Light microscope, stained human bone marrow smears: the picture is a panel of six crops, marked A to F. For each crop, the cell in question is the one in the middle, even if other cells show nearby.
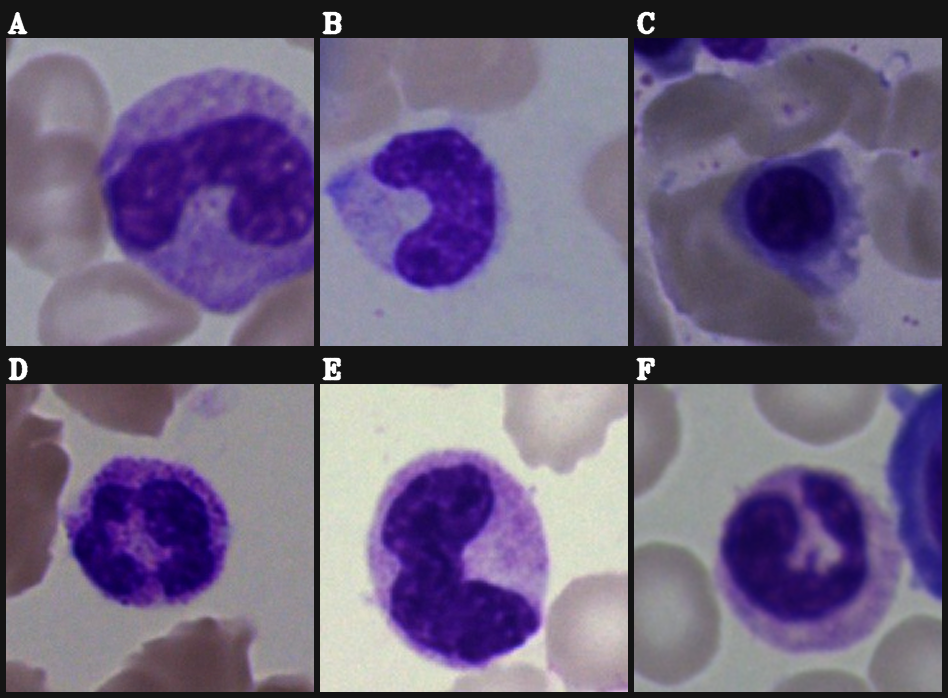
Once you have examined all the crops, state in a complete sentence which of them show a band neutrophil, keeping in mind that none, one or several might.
The cells at the centre of the crops labelled A, B and E are band neutrophils.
